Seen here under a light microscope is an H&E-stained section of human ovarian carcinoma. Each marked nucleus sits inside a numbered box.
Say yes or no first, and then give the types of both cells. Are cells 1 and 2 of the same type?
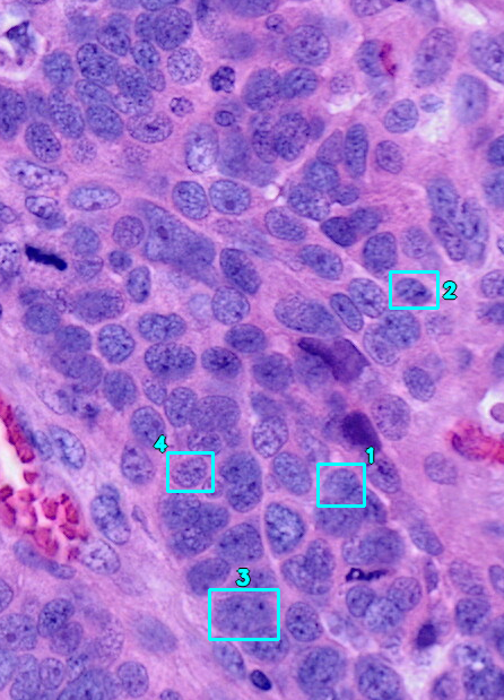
No, cell 1 is a carcinoma cell and cell 2 is a macrophage or monocyte.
